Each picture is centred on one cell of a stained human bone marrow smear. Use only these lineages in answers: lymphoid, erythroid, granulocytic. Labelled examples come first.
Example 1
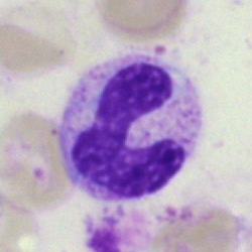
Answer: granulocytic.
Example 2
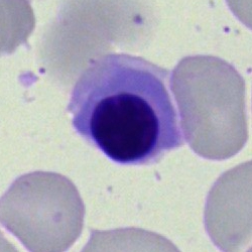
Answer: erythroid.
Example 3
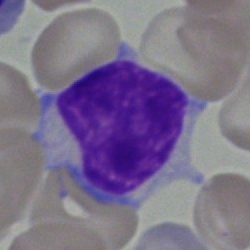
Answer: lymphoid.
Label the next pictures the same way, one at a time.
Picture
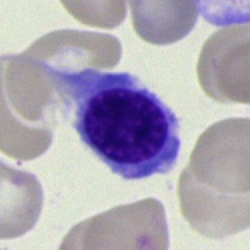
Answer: erythroid.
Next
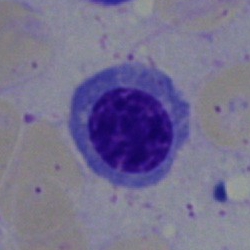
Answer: erythroid.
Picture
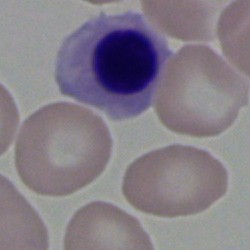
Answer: erythroid.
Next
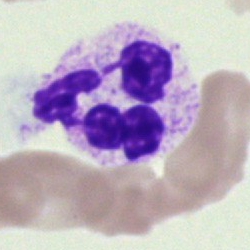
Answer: granulocytic.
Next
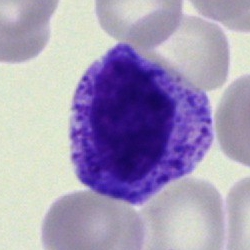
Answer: granulocytic.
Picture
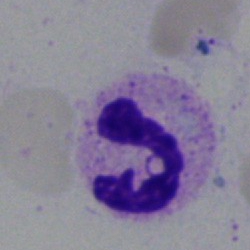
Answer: granulocytic.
